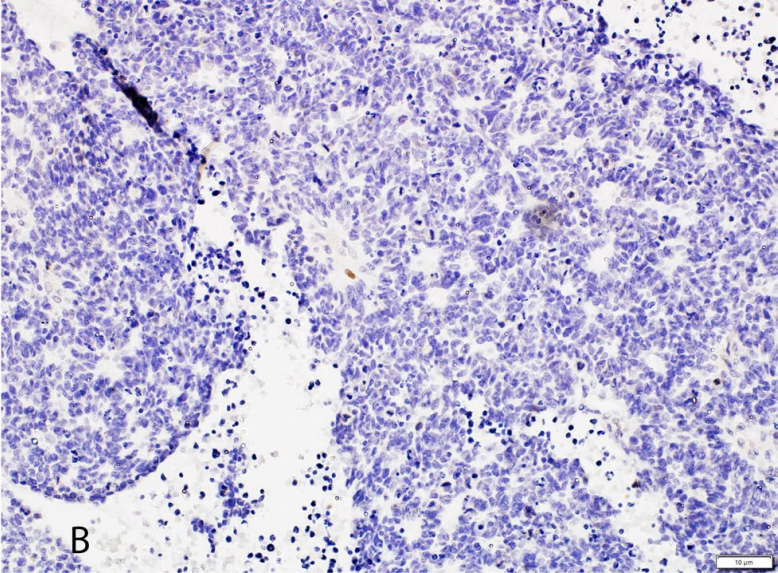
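This is a tumor made of densely packed small cells with crowded, dark blue nuclei and scant cytoplasm. The cells form broad sheets separated by small clefts and paler spaces. Scattered loose cells lie in the gaps between the sheets. Almost no brown stain is seen, so the cells show only the blue counterstain.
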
